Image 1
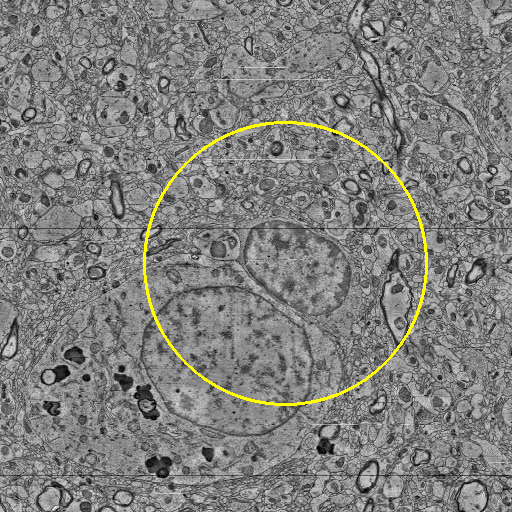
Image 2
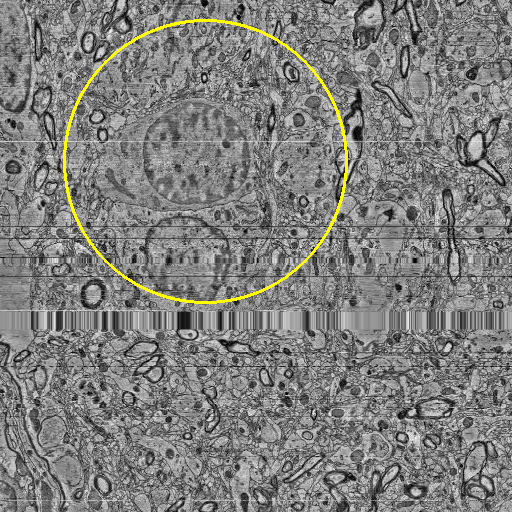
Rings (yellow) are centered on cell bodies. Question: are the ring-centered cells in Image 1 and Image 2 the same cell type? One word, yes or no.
yes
